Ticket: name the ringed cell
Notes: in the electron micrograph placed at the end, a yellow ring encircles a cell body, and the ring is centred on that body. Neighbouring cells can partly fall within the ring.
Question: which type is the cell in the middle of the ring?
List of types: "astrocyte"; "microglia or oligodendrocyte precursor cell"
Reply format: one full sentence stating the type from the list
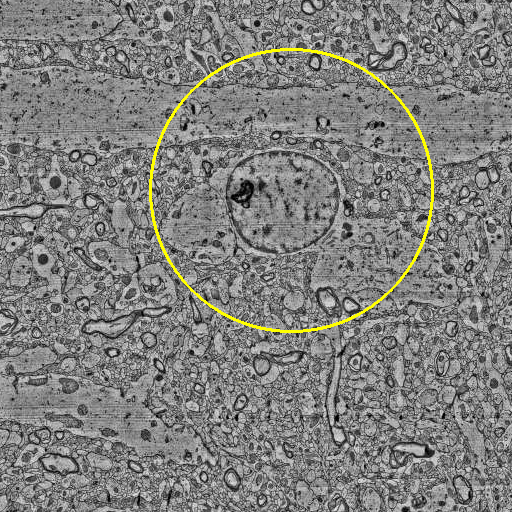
The cell sitting at the centre of the yellow ring is a microglial cell or oligodendrocyte precursor cell.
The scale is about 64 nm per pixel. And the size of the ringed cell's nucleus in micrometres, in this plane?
In this plane the nucleus is about 7 micrometres across.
